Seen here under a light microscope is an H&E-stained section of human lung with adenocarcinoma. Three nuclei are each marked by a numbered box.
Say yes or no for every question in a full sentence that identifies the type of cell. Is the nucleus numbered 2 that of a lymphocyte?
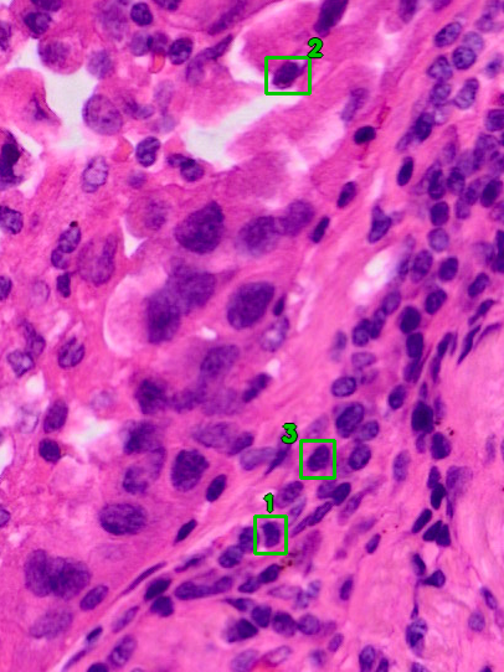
No, cell 2 should be read as a carcinoma cell instead of a lymphocyte.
